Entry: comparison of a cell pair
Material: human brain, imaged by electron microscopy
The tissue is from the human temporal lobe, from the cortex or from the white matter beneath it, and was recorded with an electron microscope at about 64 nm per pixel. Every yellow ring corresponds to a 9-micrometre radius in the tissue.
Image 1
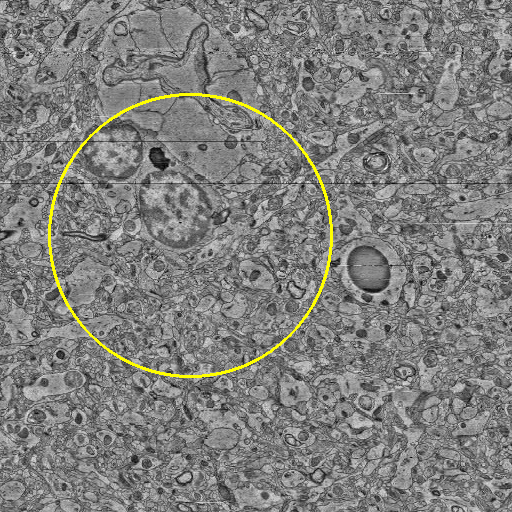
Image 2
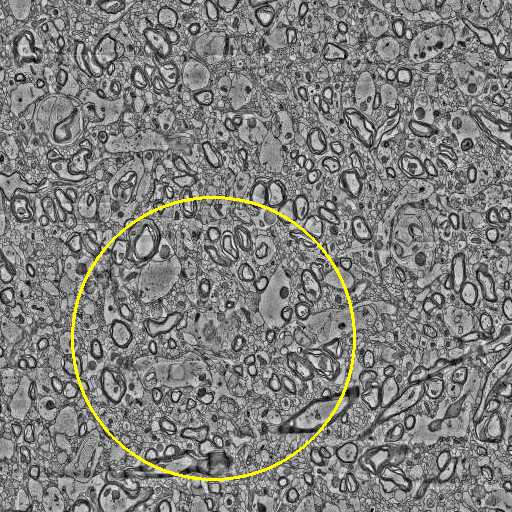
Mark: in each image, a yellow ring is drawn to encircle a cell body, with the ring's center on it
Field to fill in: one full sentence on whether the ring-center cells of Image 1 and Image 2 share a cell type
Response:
Yes, Image 1 and Image 2 each show a ring-center cell of one shared type.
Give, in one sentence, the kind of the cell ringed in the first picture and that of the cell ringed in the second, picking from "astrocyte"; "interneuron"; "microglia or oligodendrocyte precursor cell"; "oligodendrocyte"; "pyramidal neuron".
The cell at the ring centre is an oligodendrocyte in both pictures.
